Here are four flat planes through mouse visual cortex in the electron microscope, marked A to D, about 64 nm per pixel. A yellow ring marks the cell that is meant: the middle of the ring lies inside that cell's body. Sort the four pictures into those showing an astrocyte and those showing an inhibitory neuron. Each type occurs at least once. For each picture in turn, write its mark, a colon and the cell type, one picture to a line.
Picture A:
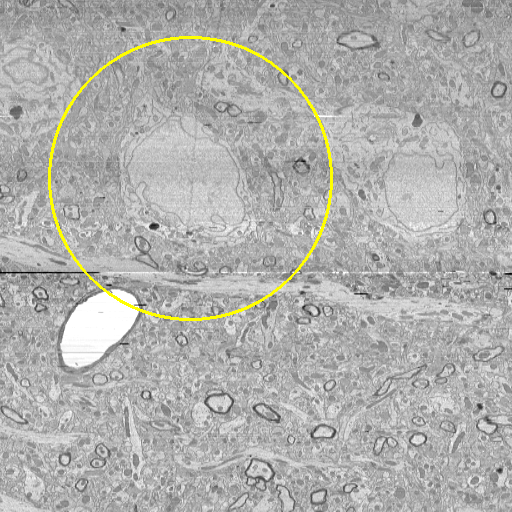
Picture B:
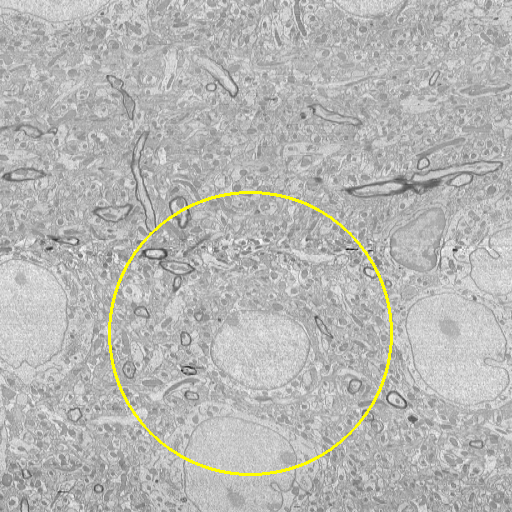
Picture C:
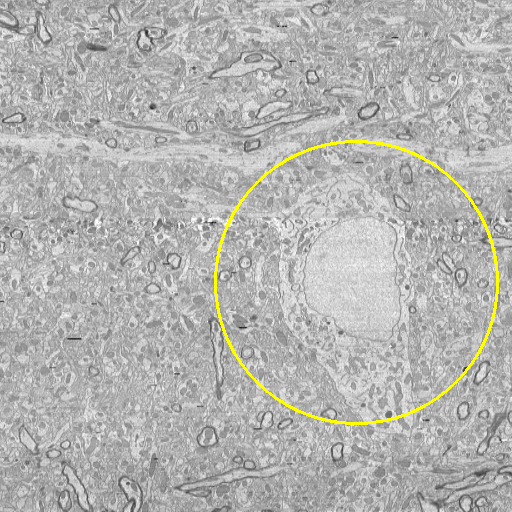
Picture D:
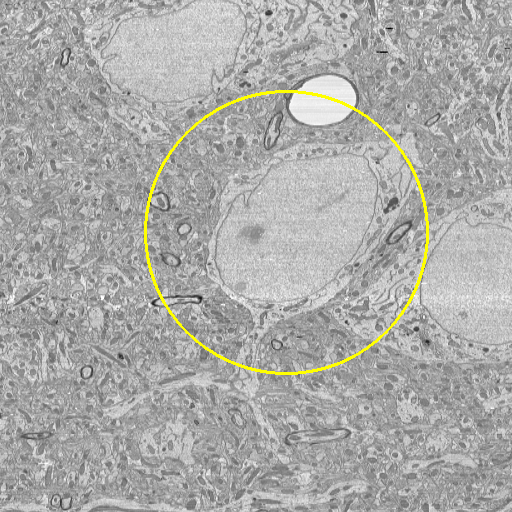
A: inhibitory neuron
B: astrocyte
C: inhibitory neuron
D: inhibitory neuron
